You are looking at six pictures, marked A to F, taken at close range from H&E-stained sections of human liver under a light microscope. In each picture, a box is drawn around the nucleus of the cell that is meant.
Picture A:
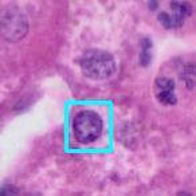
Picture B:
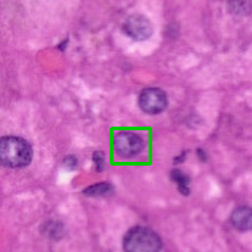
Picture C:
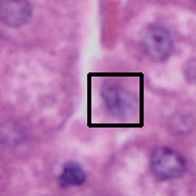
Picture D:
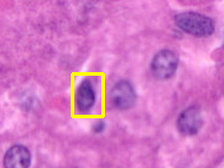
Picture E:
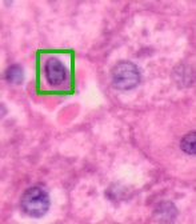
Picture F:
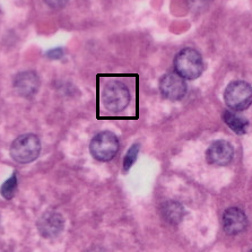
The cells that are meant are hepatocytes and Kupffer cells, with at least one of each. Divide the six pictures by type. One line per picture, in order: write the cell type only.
hepatocyte
hepatocyte
Kupffer cell
Kupffer cell
Kupffer cell
hepatocyte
